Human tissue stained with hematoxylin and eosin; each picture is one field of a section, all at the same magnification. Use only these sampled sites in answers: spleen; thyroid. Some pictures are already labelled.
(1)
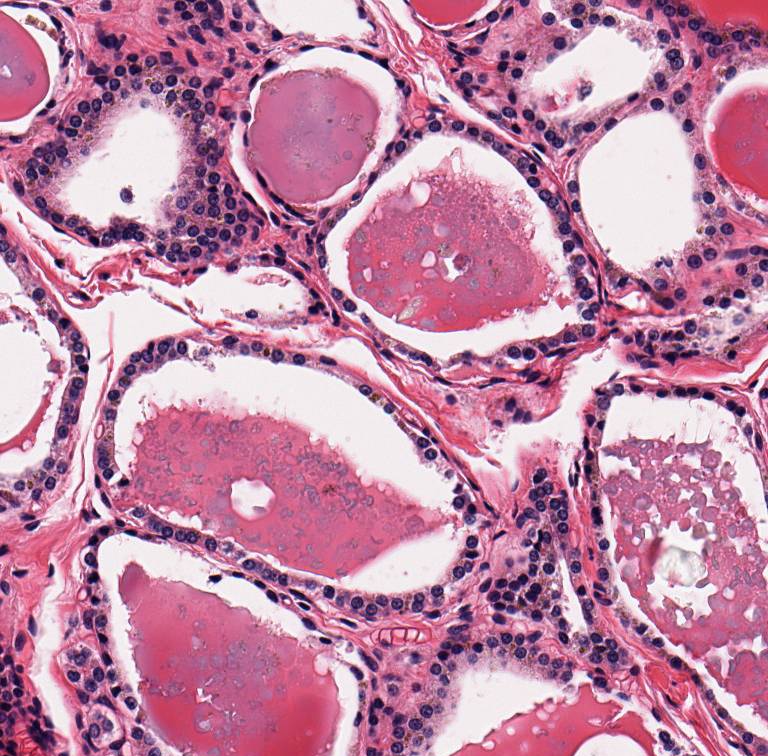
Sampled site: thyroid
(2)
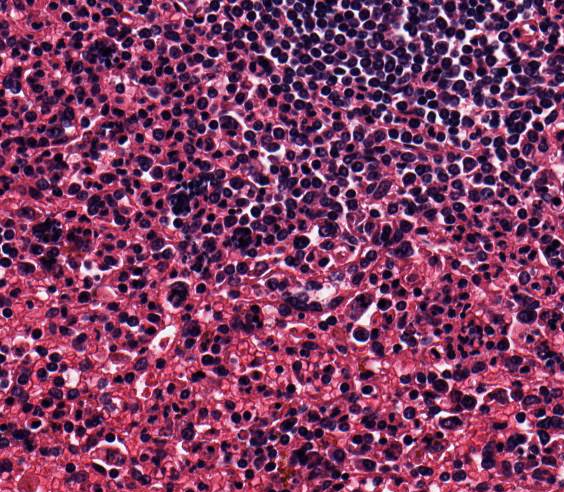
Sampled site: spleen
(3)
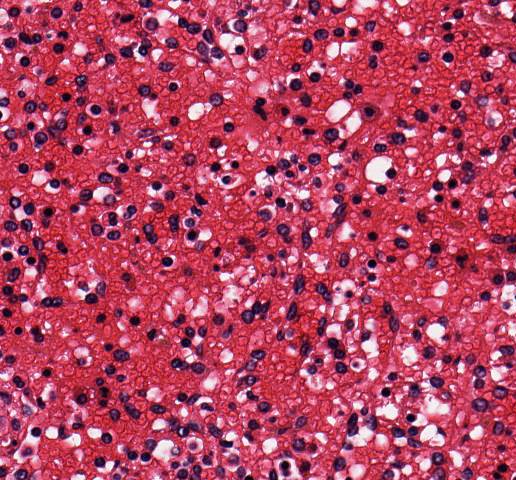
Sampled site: spleen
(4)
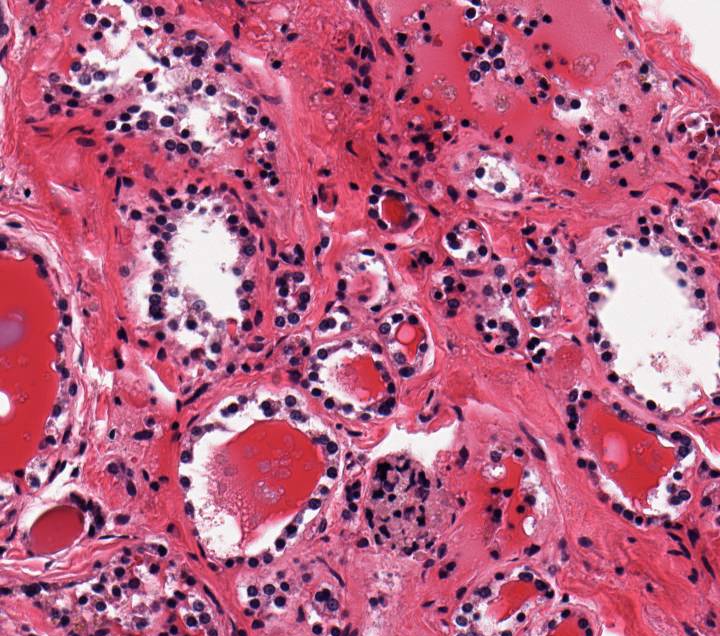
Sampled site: thyroid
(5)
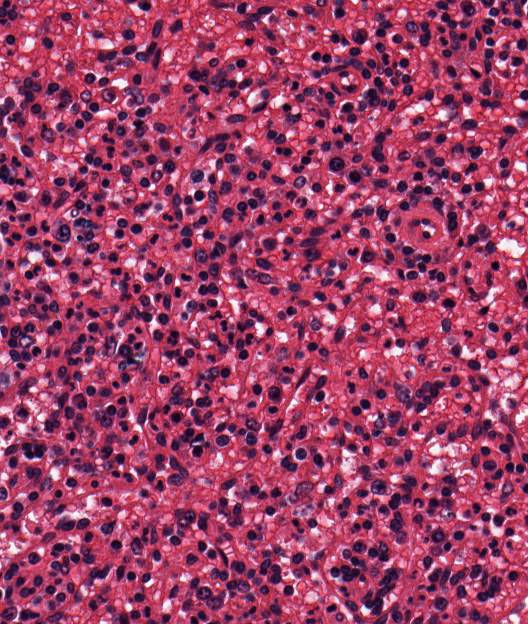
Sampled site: spleen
